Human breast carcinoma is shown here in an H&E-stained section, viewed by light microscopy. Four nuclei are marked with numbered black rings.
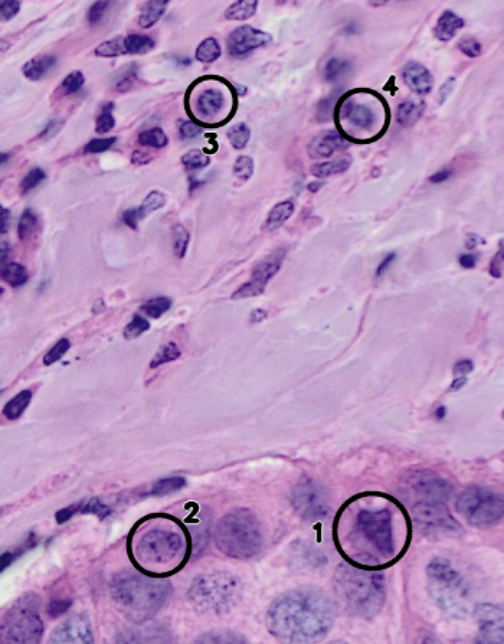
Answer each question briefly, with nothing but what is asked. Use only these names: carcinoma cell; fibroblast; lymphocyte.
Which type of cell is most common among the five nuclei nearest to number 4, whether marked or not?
lymphocyte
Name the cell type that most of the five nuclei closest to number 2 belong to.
carcinoma cell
